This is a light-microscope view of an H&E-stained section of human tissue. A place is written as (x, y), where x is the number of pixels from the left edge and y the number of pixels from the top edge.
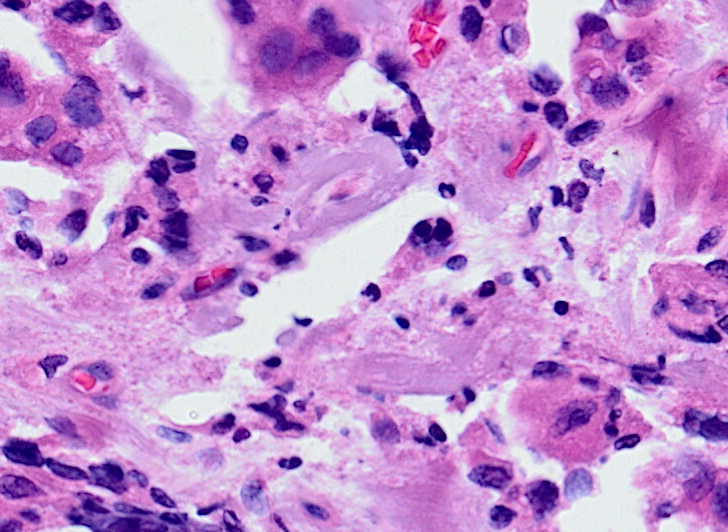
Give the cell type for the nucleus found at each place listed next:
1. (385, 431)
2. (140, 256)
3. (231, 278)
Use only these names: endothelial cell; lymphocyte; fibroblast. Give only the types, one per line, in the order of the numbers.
fibroblast
lymphocyte
endothelial cell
